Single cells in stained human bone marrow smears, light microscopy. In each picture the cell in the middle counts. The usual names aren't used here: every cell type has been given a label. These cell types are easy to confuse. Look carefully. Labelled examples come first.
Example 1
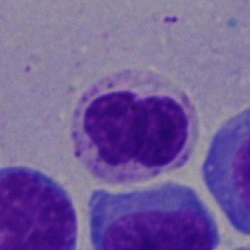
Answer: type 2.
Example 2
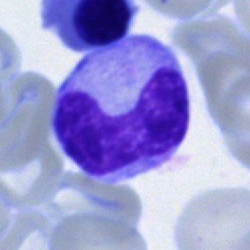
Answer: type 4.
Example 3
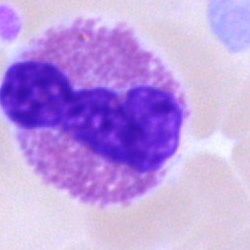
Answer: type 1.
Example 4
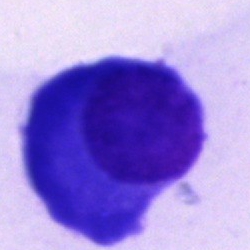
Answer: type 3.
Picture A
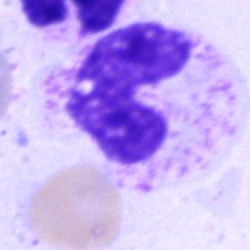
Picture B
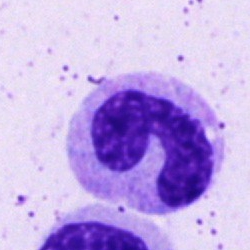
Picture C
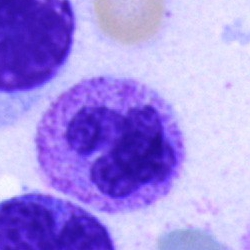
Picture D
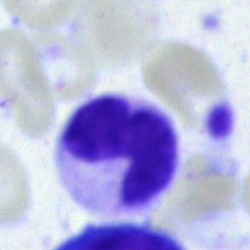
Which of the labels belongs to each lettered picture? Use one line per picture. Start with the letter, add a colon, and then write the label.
A: type 4.
B: type 4.
C: type 2.
D: type 4.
